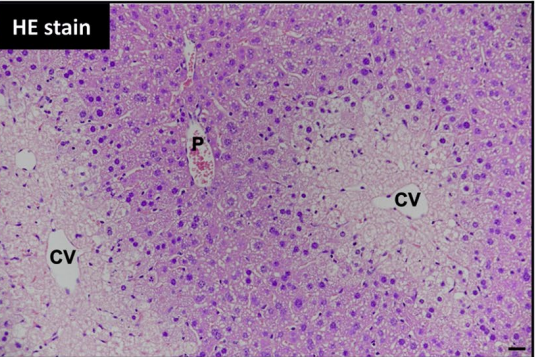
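Liver with the hepatocytes around the central veins altered. Around each central vein, hepatocytes are pale and swollen with a washed-out, vacuolated cytoplasm, forming a pale zone. Between these zones, nearer the portal vein, hepatocytes are more intensely stained, with distinct purple nuclei. Sinusoids run between the hepatocyte cords. The portal vein contains red blood cells.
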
